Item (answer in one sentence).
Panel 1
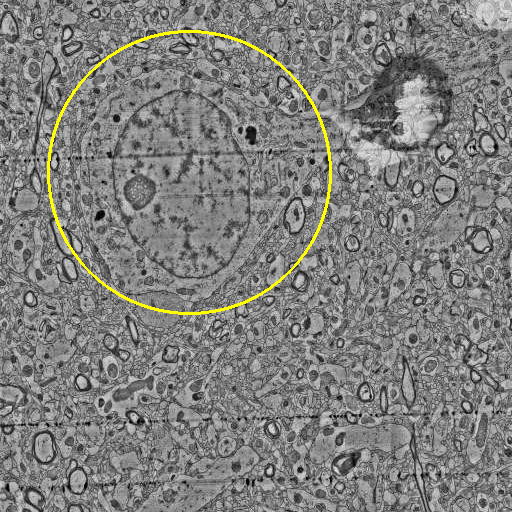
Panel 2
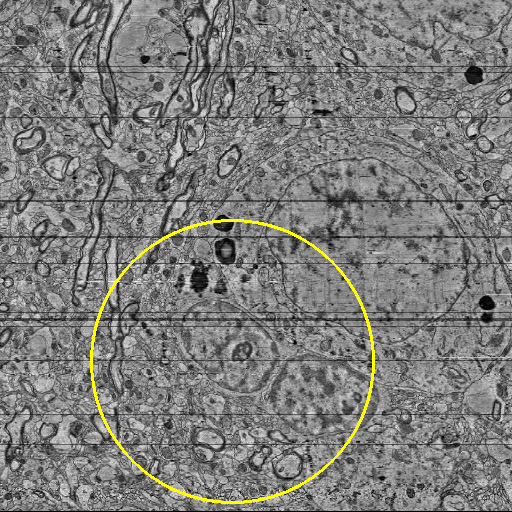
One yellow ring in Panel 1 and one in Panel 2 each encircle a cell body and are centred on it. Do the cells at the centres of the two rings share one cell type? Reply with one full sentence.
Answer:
No, Panel 1 and Panel 2 show cells of two types at the centres of their rings.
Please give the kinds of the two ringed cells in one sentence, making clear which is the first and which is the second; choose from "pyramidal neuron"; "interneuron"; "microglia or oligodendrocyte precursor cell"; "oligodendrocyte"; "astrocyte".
In the second picture the ringed cell is an oligodendrocyte; in the first it is a pyramidal neuron.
